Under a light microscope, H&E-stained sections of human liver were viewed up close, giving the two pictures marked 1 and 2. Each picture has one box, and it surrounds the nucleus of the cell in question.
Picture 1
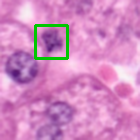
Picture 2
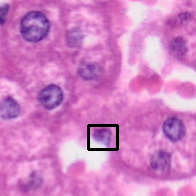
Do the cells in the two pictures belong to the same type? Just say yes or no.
no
